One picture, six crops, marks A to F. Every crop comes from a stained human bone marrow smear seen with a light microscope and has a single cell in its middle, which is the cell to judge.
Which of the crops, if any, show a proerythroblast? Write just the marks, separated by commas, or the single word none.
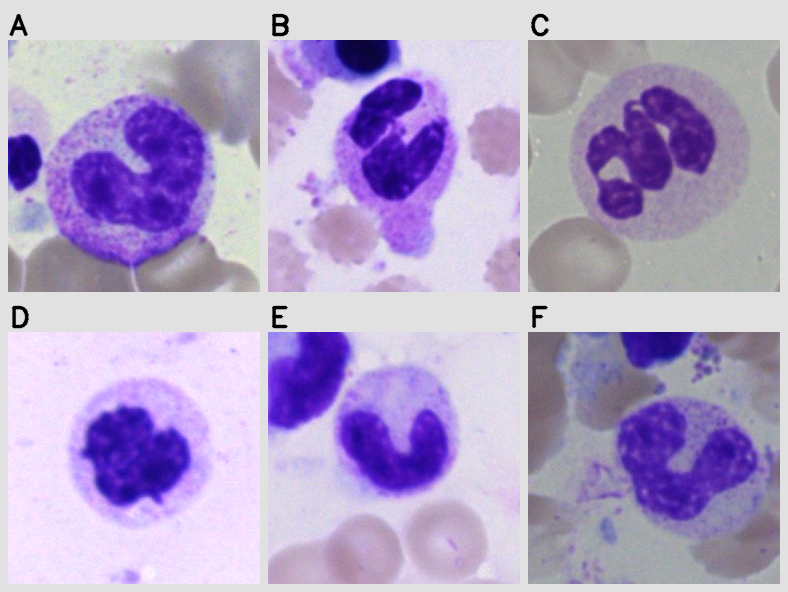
none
